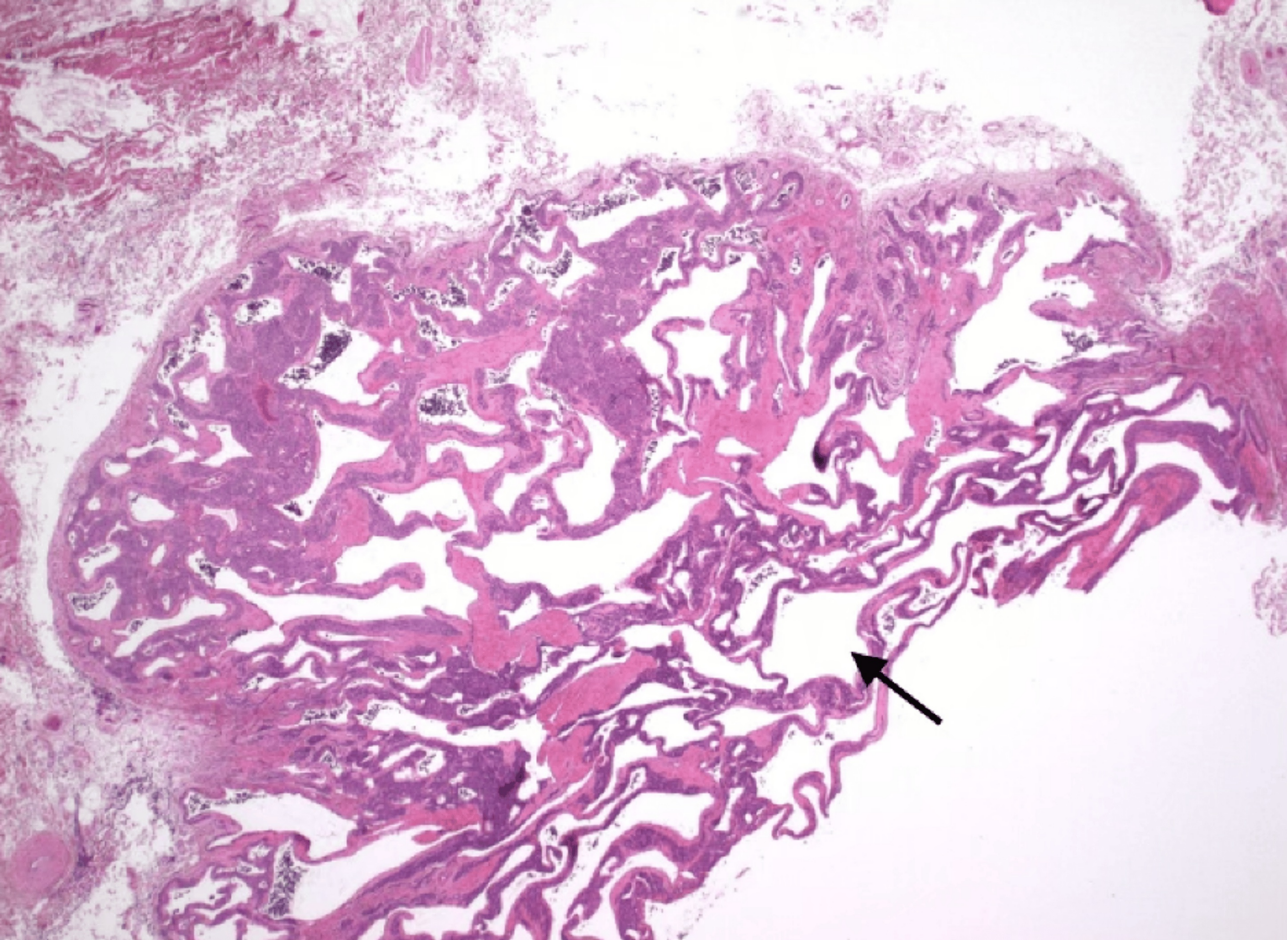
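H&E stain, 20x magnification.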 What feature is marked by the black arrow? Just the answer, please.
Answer: Vessels.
